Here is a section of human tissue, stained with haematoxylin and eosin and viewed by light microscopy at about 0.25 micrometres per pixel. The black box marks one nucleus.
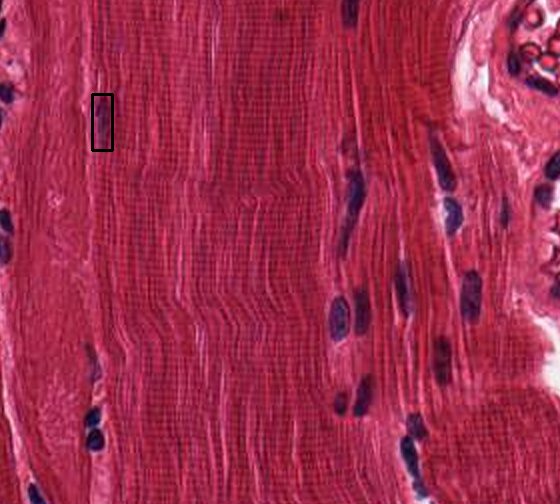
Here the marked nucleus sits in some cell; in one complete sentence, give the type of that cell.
A nucleus belonging to a skeletal muscle fibre is the one marked.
